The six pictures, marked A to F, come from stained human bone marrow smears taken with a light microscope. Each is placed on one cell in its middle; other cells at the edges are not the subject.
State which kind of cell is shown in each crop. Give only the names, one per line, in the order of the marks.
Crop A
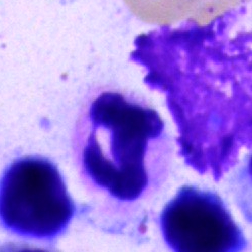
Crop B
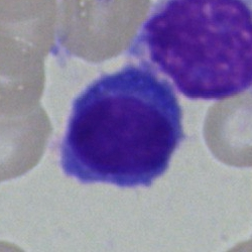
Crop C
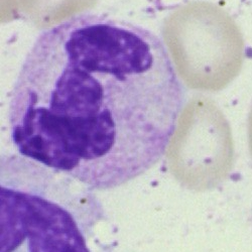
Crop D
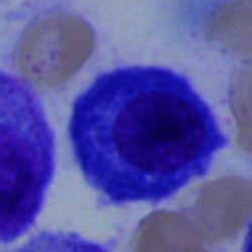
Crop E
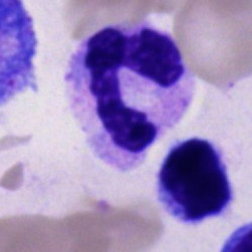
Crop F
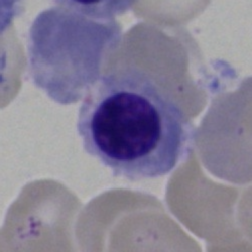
segmented neutrophil
plasma cell
segmented neutrophil
plasma cell
segmented neutrophil
erythroblast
